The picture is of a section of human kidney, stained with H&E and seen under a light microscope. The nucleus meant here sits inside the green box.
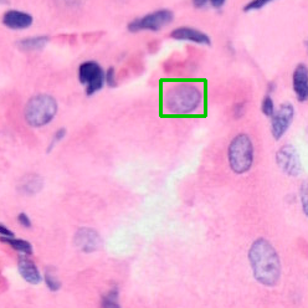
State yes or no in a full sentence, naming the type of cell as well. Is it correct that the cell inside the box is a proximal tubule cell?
Yes, the description of the cell inside the box as a proximal tubule cell is accurate.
